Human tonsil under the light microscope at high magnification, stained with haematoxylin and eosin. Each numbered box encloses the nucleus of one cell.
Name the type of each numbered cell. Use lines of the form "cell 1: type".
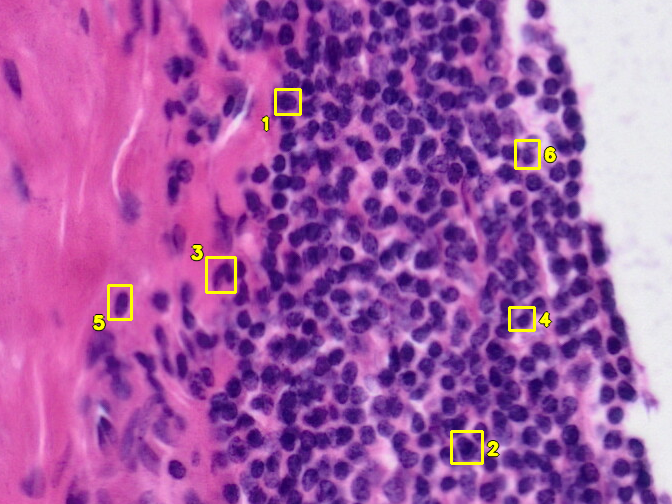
cell 1: small lymphocyte
cell 2: small lymphocyte
cell 3: endothelial cell
cell 4: small lymphocyte
cell 5: mast cell
cell 6: small lymphocyte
